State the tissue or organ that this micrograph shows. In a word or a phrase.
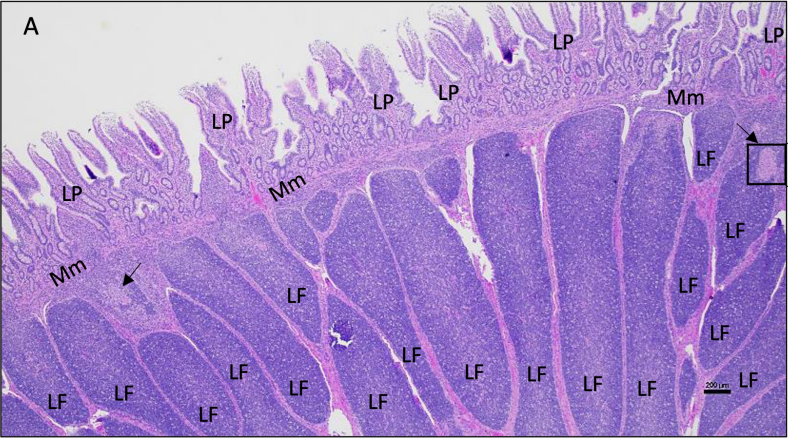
Peyer’s patch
